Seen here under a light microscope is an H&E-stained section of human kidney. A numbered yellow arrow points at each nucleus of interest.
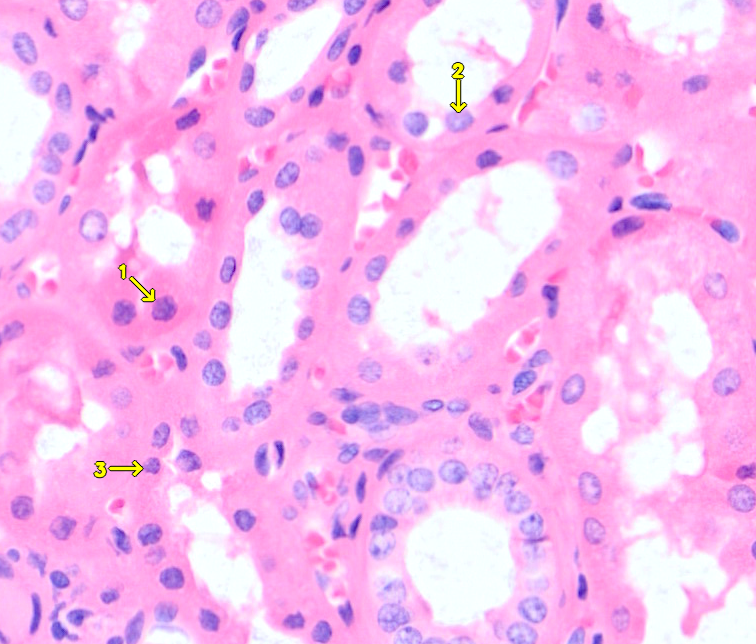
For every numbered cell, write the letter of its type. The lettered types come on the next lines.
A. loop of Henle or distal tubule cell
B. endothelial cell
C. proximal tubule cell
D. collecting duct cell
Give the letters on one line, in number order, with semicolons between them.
C; A; A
